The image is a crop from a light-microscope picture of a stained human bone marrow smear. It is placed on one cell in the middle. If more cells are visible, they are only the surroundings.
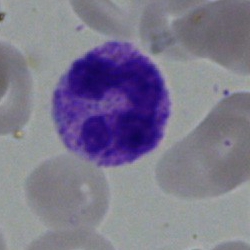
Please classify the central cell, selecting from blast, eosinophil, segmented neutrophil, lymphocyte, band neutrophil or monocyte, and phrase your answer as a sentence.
As for the central cell, it is a segmented neutrophil.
